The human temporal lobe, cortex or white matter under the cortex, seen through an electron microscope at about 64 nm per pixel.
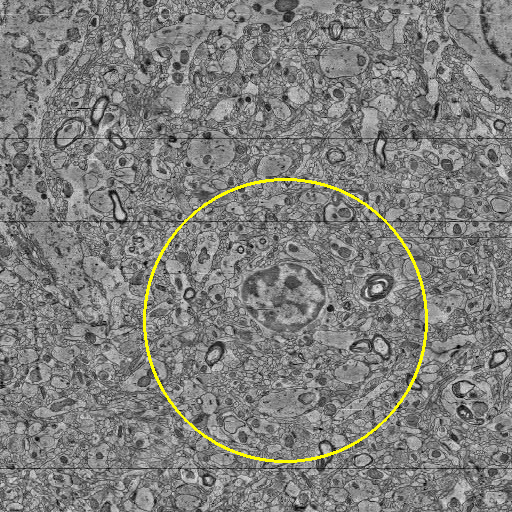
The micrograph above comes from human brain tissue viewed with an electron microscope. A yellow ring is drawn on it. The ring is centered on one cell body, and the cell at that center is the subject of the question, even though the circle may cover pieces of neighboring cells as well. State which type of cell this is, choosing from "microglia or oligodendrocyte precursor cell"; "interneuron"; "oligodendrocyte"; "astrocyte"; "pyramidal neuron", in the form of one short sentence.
The cell the ring is centered on is a microglial cell or oligodendrocyte precursor cell.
